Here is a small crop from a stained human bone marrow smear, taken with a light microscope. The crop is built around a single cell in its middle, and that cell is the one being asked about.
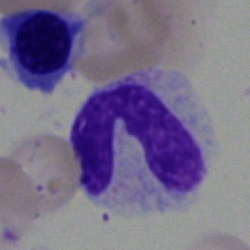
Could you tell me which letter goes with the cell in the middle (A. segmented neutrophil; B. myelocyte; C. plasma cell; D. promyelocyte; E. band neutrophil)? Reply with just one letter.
E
